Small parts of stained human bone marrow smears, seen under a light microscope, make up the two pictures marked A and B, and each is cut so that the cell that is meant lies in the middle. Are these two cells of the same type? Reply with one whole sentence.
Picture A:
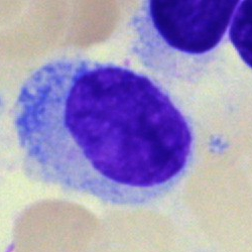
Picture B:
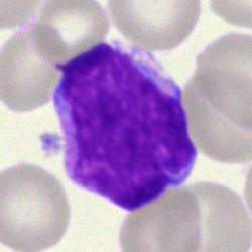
No, they differ: the cell is a hairy cell in picture A and a blast in picture B.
